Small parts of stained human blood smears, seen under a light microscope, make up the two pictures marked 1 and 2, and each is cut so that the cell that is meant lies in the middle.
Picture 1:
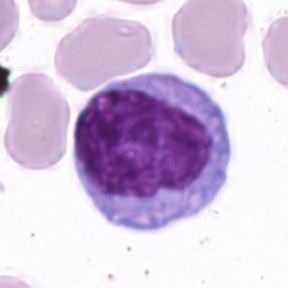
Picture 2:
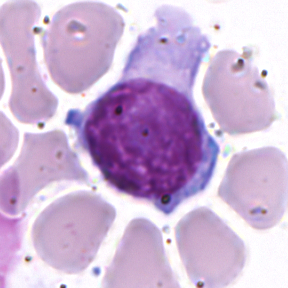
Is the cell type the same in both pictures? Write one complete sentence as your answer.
Yes, the two pictures both show plasma cells.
